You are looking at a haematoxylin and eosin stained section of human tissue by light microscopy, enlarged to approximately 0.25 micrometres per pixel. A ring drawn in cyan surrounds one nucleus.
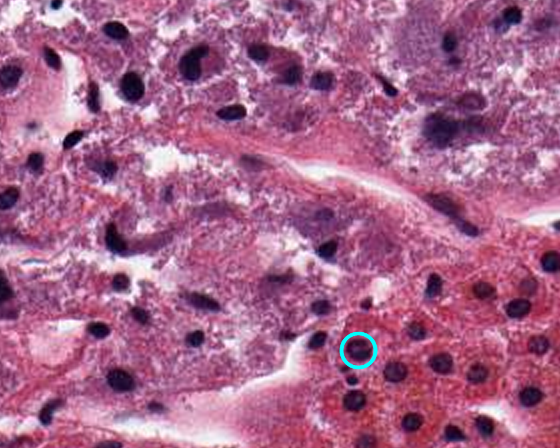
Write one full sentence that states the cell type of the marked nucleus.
The marked nucleus is housed in an adrenal cortical cell.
